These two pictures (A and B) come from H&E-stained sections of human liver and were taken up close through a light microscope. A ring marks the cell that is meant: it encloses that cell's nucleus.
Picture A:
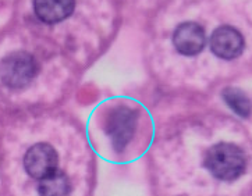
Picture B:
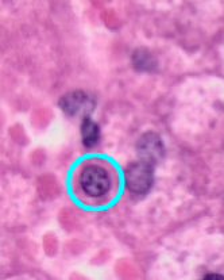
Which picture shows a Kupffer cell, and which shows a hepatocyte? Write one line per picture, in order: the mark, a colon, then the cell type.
A: Kupffer cell
B: hepatocyte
